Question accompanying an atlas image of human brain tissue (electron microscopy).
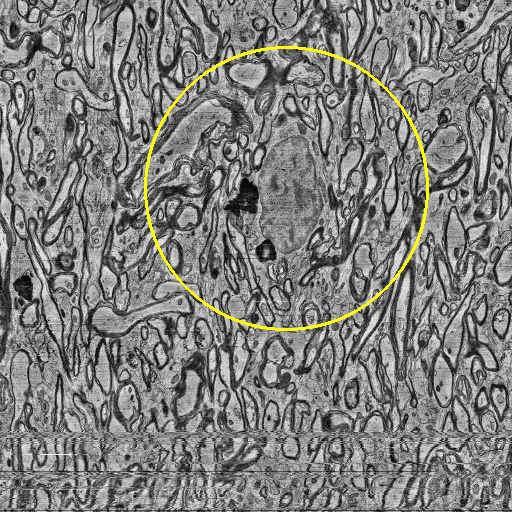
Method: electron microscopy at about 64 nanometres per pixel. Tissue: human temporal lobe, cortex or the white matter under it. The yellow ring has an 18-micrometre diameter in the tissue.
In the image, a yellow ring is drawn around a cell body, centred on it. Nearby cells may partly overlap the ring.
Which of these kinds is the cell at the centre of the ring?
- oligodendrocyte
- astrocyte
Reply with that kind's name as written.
oligodendrocyte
